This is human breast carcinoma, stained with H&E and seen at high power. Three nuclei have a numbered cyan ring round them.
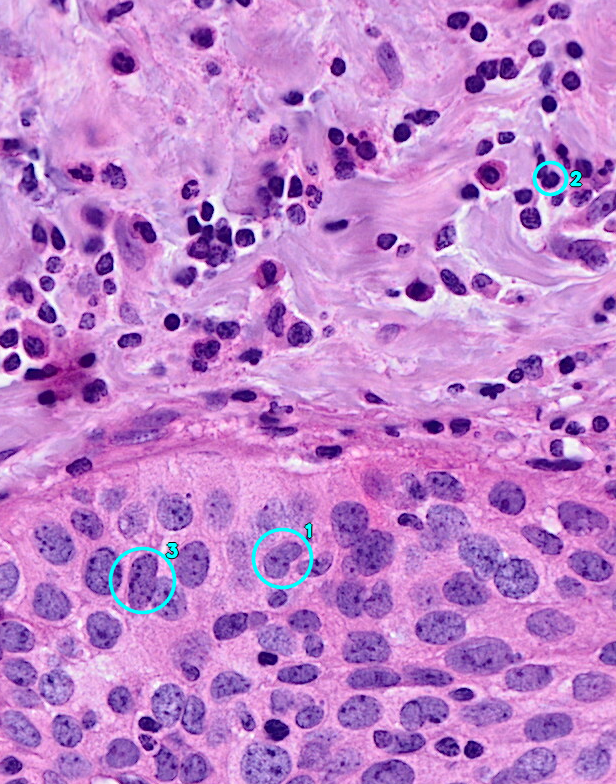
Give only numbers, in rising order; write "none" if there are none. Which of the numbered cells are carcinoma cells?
1, 3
